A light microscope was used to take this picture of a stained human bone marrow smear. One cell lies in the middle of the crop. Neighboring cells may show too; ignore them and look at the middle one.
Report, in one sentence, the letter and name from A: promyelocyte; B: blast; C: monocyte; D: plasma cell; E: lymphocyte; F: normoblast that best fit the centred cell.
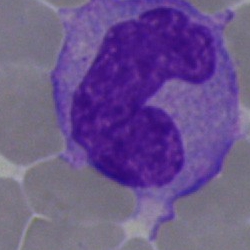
Option C is the keyed answer: the cell in the middle is a monocyte.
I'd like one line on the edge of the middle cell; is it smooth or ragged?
This cell does not have a smooth edge; it is ragged or extended into projections.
